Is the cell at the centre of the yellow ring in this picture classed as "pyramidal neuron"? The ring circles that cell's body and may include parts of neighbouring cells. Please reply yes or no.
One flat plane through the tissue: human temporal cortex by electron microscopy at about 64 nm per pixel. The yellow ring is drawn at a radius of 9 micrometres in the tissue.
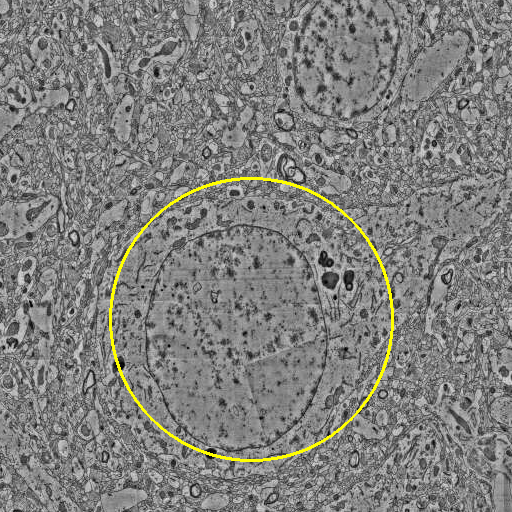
Yes, it is of that kind.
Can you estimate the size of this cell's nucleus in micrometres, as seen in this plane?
Roughly 15 micrometres across for the nucleus, in this plane.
